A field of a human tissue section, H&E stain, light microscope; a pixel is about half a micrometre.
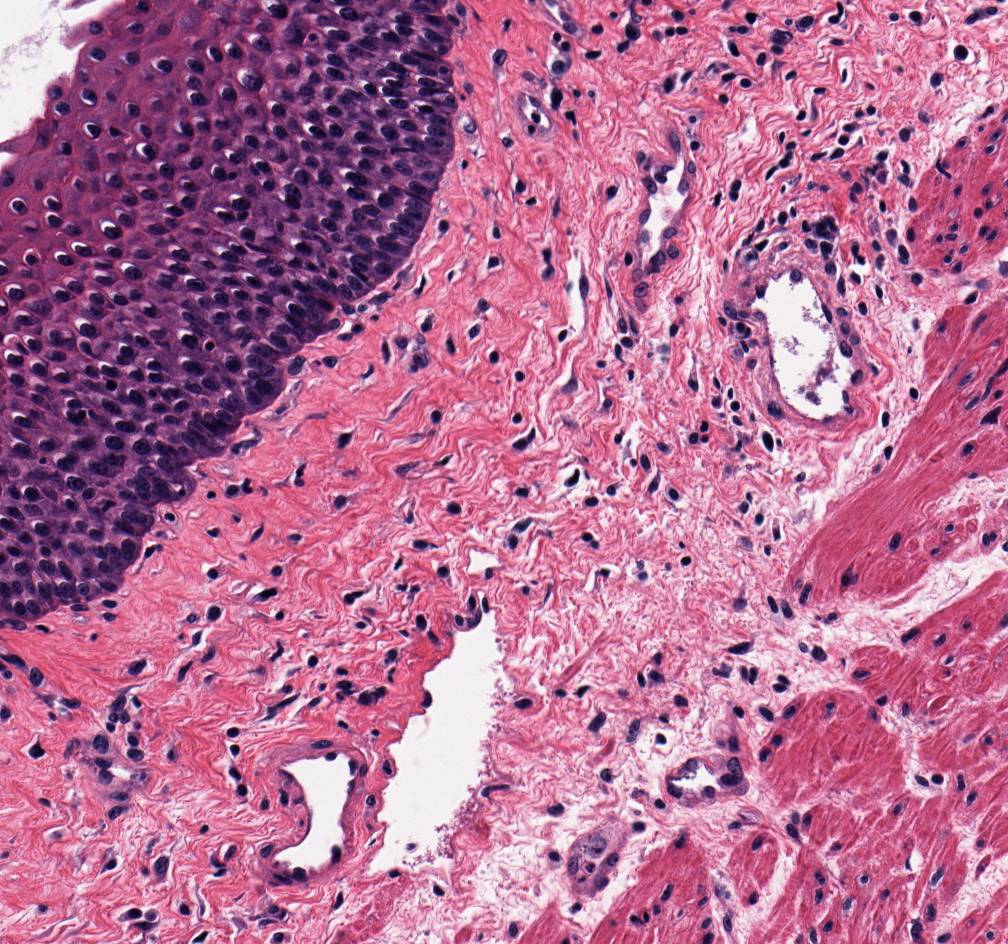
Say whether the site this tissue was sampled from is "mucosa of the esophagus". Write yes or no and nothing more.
yes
